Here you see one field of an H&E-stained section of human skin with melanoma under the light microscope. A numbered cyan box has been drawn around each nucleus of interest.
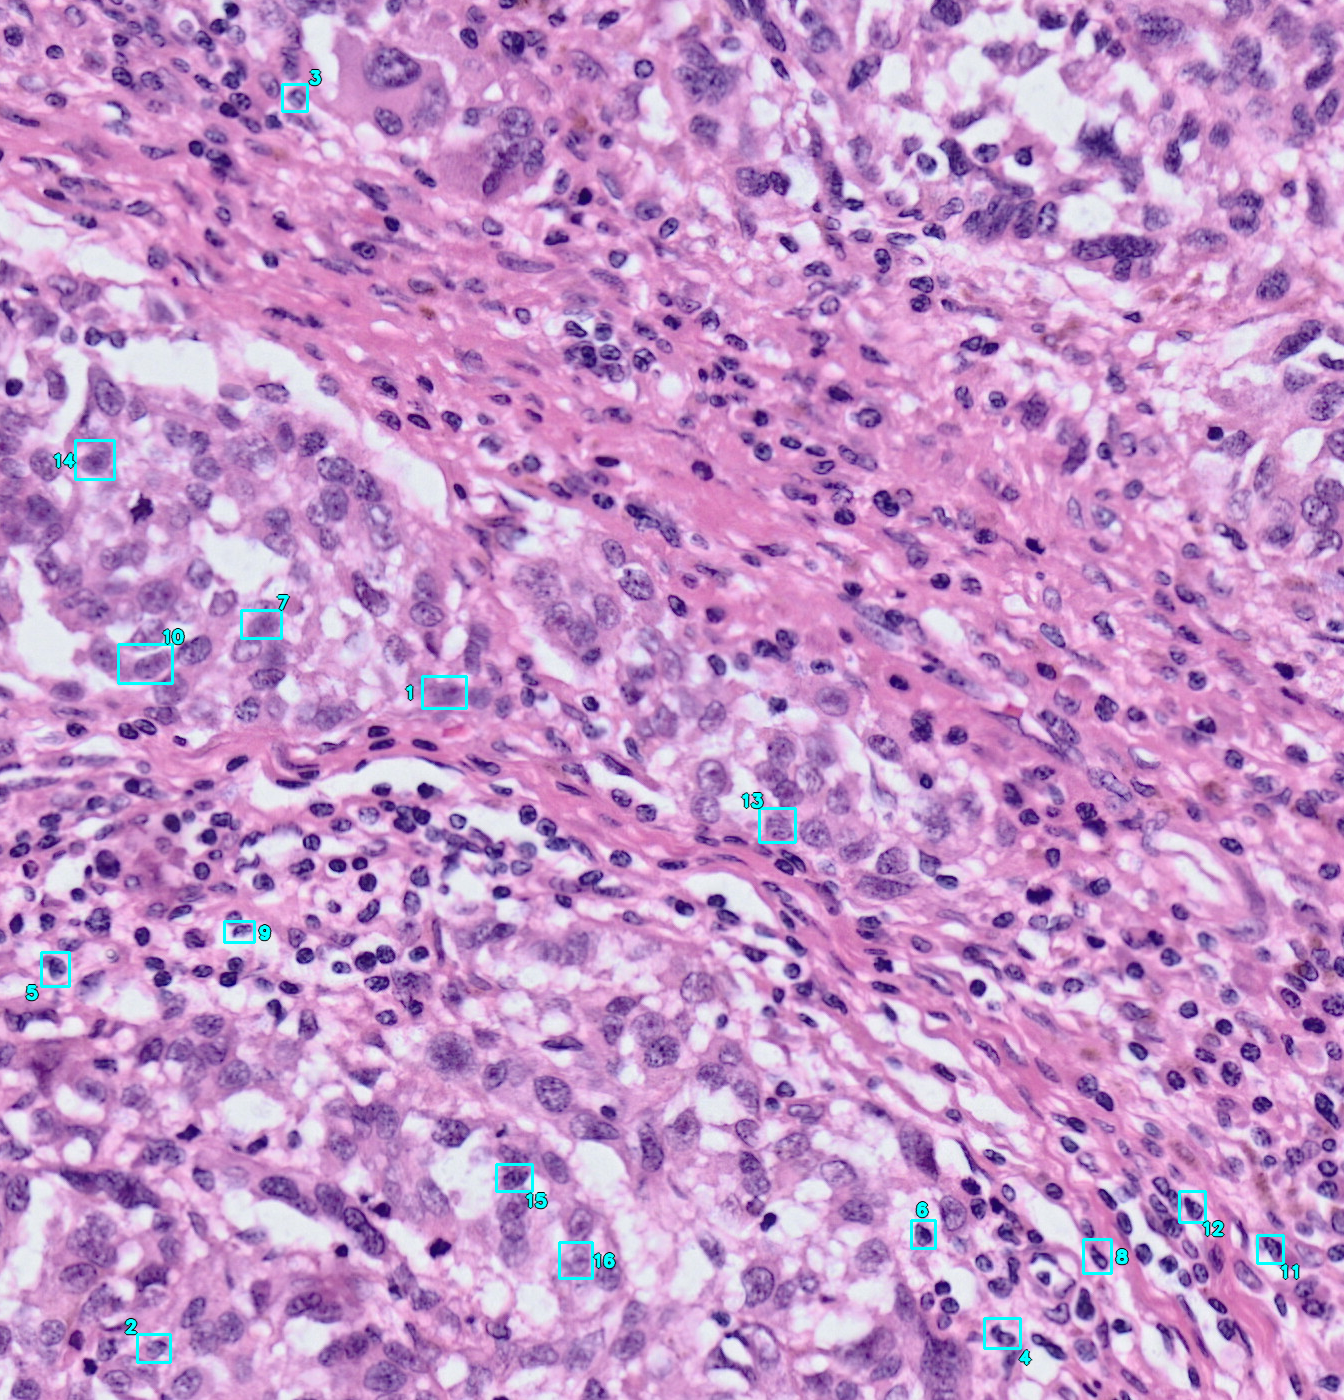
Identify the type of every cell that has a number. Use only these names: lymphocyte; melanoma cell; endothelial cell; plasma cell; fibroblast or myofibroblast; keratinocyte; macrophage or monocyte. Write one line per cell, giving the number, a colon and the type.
1: melanoma cell
2: macrophage or monocyte
3: lymphocyte
4: lymphocyte
5: lymphocyte
6: lymphocyte
7: melanoma cell
8: lymphocyte
9: lymphocyte
10: melanoma cell
11: plasma cell
12: lymphocyte
13: melanoma cell
14: melanoma cell
15: melanoma cell
16: melanoma cell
